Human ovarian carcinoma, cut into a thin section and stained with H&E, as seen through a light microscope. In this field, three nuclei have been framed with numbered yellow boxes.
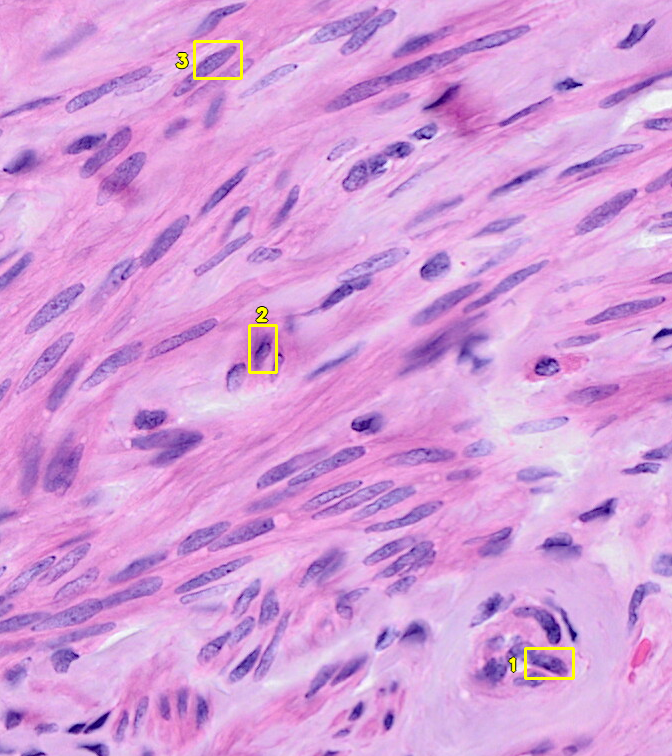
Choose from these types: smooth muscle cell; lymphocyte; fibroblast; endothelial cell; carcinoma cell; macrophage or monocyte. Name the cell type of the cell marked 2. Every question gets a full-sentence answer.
The cell identified by number 2 is a smooth muscle cell.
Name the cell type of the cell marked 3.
Cell number 3 in this section is a smooth muscle cell.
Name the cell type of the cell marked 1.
Classified as an endothelial cell is the cell with the number 1.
